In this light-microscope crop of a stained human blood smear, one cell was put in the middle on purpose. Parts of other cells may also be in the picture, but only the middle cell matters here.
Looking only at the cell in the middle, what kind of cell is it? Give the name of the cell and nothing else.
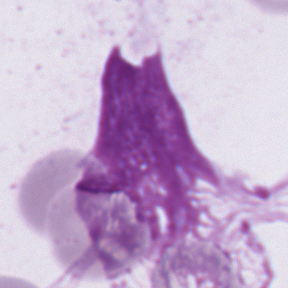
smudge cell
